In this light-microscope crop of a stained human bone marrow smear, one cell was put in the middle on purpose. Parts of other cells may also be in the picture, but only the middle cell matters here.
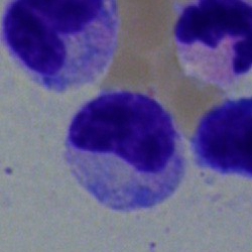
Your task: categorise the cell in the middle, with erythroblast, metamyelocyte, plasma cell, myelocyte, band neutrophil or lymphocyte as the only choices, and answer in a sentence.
The cell in the middle of this crop is a metamyelocyte.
